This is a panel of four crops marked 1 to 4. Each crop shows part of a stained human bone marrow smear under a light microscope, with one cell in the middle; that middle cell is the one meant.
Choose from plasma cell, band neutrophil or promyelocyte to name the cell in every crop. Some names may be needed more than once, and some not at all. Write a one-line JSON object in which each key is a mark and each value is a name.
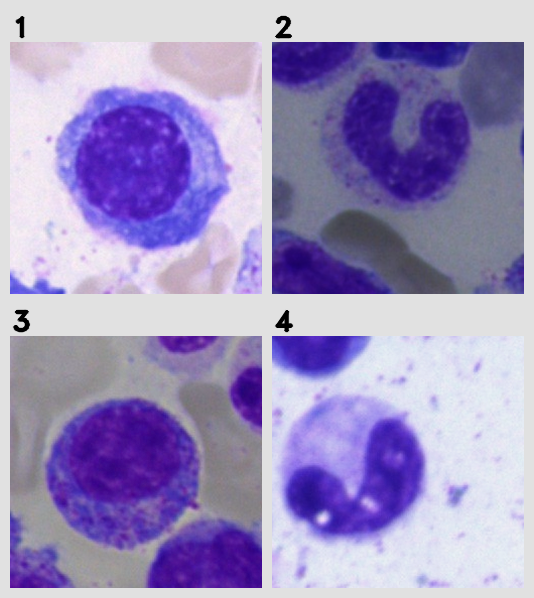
{"1": "plasma cell", "2": "band neutrophil", "3": "promyelocyte", "4": "band neutrophil"}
